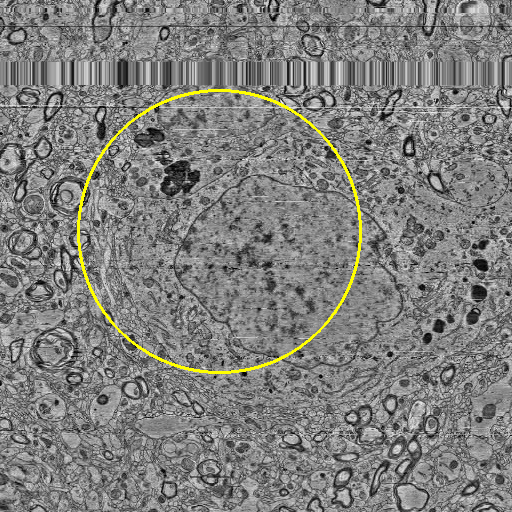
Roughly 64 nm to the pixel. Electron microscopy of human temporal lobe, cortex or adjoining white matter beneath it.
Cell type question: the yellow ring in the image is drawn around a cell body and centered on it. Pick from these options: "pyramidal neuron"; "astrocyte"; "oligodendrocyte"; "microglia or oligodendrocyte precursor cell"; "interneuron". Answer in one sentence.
The ringed cell at the center is a pyramidal neuron.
